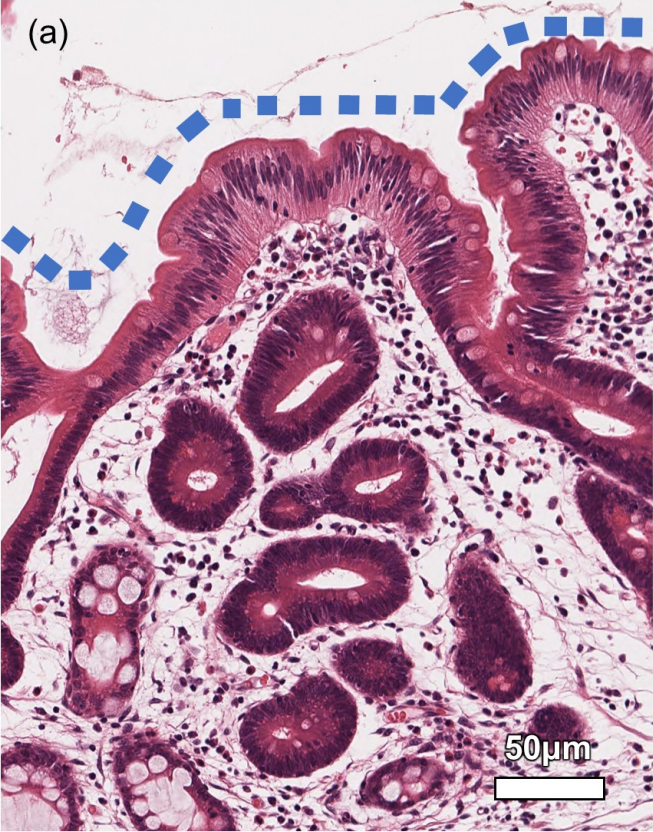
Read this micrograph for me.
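The surface is lined by a single layer of tall columnar epithelial cells with elongated, basally placed dark nuclei and pink apical cytoplasm, with a few scattered pale mucin-filled goblet-like cells. Beneath it lies a loose pale stroma crowded with small round dark nuclei of inflammatory cells and some red blood cells. Within the stroma, glands cut in cross-section are lined by cells with crowded, dark purple nuclei around small lumens, some holding clear mucin vacuoles. Pale wispy mucus material lies above the surface epithelium.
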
